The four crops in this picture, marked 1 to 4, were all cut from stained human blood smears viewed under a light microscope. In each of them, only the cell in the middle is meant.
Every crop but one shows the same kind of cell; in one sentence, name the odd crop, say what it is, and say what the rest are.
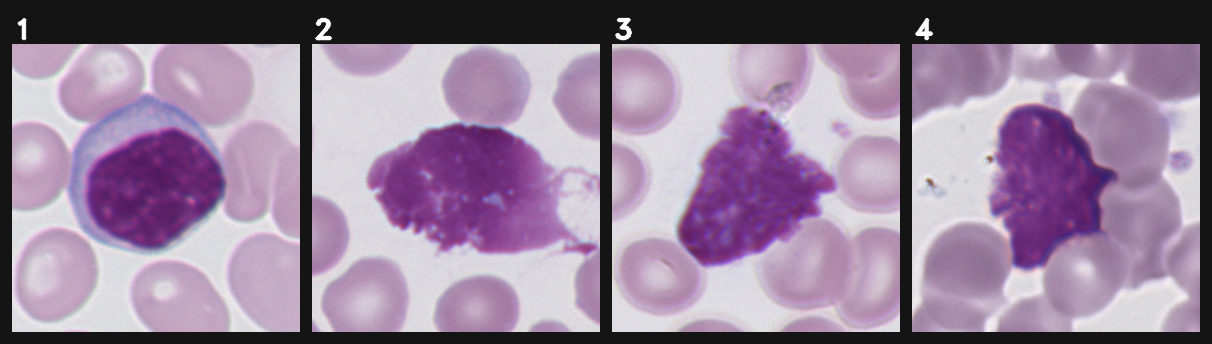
Crop 1 shows a typical lymphocyte, while all of the others show smudge cells.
